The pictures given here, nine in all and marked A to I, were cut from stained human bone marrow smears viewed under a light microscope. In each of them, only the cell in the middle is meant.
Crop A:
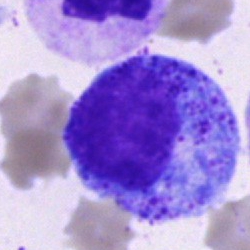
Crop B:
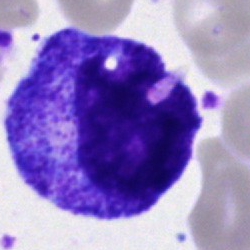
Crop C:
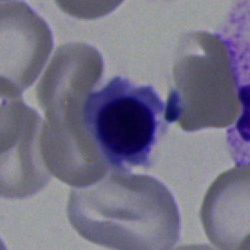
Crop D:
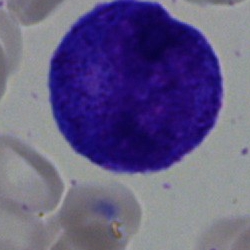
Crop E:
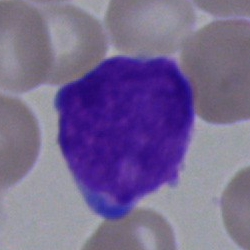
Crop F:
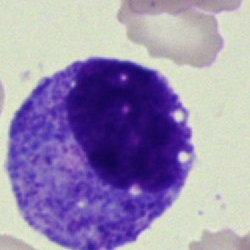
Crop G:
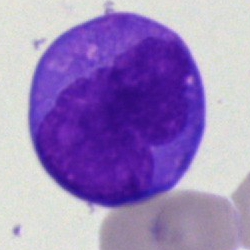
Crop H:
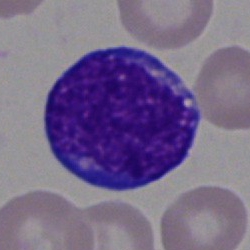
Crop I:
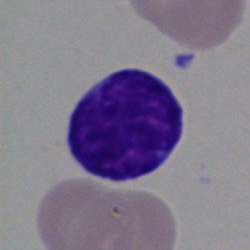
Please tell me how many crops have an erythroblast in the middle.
1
